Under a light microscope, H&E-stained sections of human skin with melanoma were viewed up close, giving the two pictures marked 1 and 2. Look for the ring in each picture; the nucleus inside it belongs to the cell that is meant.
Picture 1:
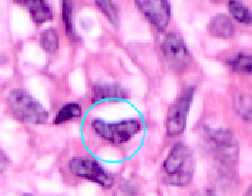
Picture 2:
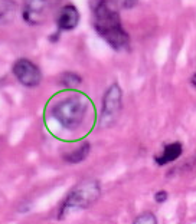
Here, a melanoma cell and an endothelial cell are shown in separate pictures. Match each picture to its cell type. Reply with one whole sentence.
It is picture 1 that shows a melanoma cell, and picture 2 that shows an endothelial cell.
